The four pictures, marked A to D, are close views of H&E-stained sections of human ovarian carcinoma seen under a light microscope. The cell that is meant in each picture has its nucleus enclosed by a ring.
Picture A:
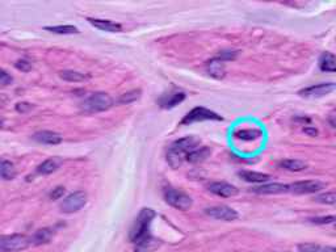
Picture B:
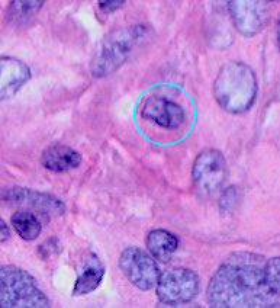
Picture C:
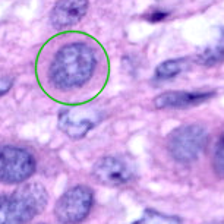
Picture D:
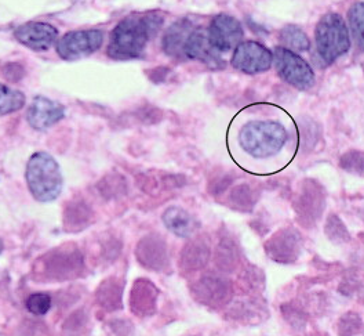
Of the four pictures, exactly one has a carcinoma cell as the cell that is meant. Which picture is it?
C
